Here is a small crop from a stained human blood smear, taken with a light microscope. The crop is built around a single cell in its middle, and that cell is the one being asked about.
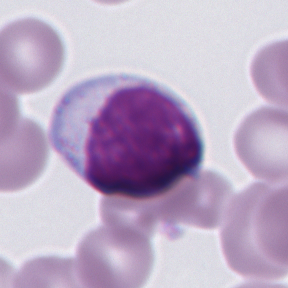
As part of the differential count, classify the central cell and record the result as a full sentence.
The cell the crop is centered on is a large granular lymphocyte.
